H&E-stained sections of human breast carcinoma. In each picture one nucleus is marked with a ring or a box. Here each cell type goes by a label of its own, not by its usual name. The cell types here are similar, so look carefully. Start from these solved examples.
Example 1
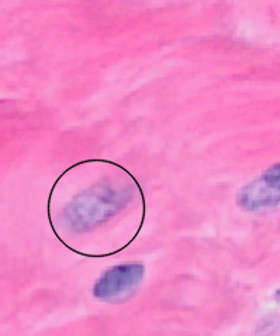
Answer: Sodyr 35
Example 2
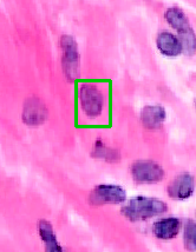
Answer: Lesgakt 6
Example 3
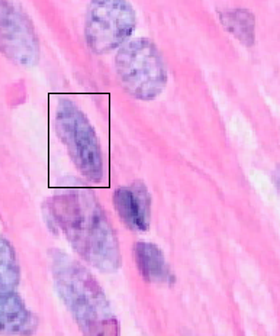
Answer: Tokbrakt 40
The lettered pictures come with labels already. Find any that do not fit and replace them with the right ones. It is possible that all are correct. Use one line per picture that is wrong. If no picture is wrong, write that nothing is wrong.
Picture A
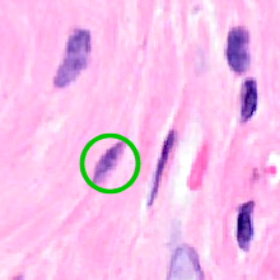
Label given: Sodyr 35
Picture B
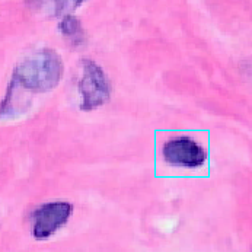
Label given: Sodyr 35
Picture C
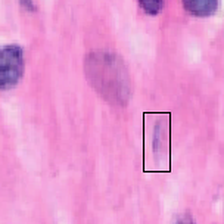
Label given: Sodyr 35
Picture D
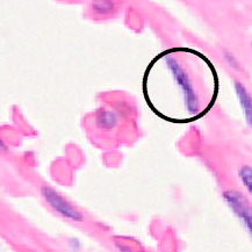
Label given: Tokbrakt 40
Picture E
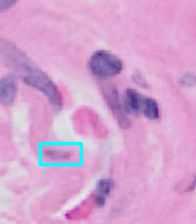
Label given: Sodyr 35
B: not Sodyr 35 but Lesgakt 6
E: not Sodyr 35 but Tokbrakt 40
